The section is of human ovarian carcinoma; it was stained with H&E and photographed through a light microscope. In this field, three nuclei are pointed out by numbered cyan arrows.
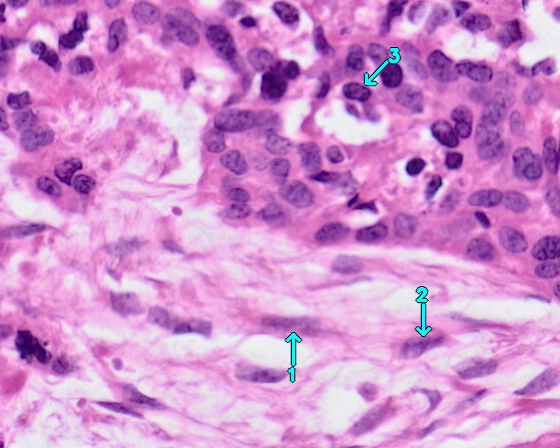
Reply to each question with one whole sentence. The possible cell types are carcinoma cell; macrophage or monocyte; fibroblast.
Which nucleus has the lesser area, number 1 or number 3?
It is nucleus 3; nucleus 1 has about 1.5 times its area.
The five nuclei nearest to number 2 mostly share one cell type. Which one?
Most of the five nuclei nearest to number 2 are those of fibroblasts.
